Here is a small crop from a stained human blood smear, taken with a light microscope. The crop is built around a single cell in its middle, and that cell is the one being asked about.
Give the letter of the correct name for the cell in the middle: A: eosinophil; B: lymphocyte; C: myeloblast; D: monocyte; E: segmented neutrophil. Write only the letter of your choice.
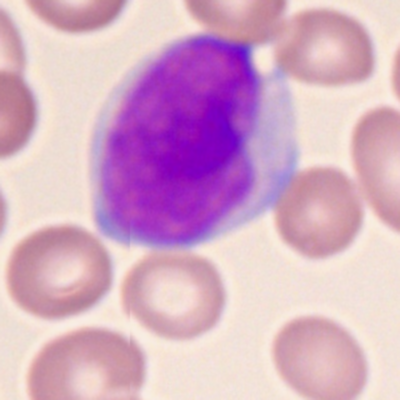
C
